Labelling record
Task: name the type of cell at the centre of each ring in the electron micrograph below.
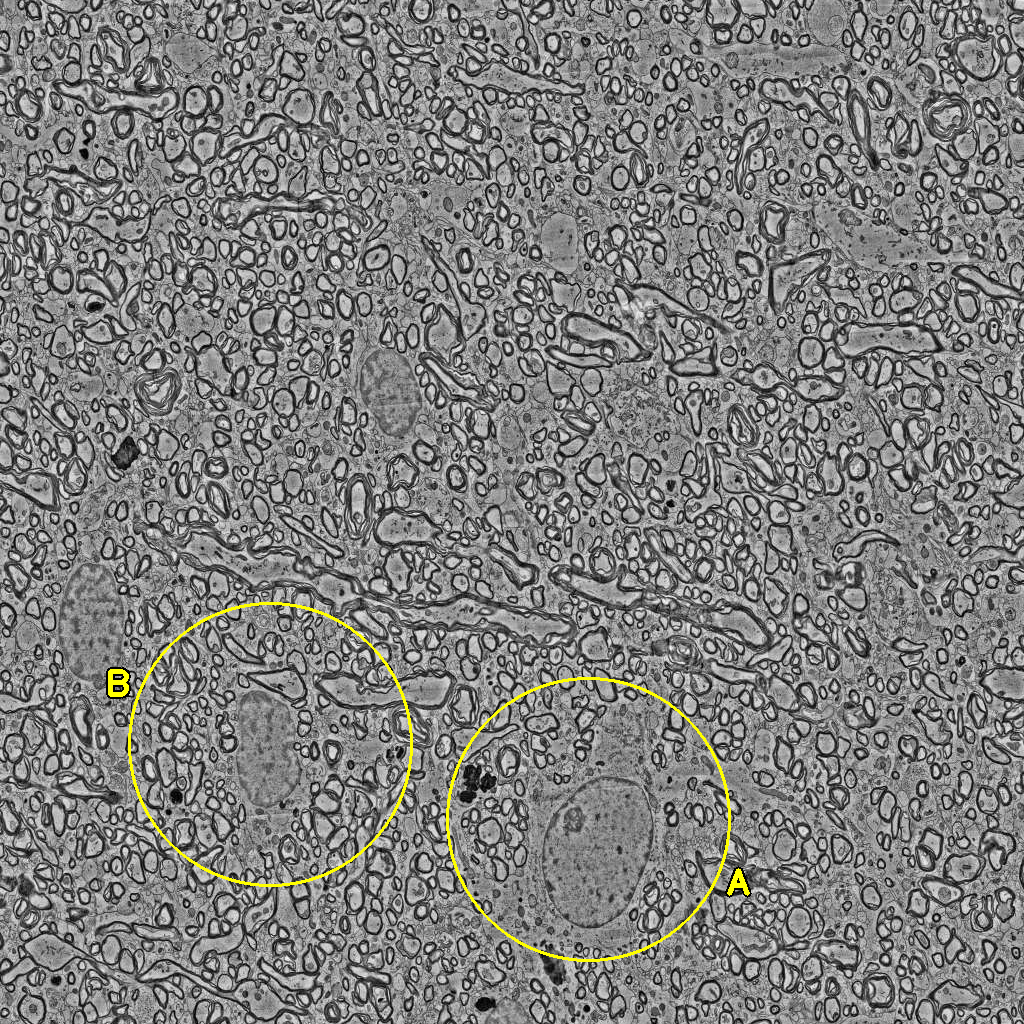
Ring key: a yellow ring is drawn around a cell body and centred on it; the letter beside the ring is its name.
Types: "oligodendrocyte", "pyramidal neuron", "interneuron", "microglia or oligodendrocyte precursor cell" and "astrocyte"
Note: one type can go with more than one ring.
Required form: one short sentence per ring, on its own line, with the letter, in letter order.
In ring A, the centred cell is an astrocyte.
In ring B, the centred cell is an oligodendrocyte.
